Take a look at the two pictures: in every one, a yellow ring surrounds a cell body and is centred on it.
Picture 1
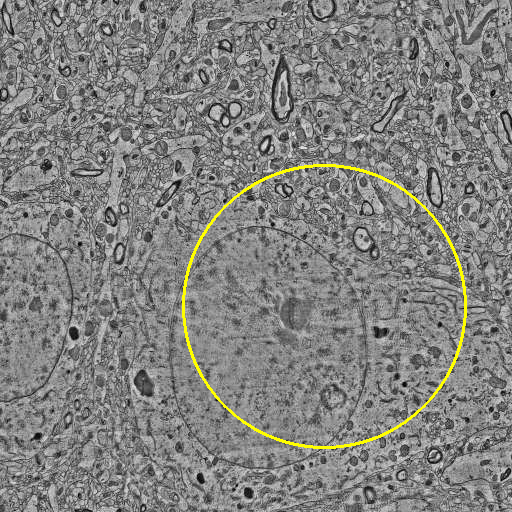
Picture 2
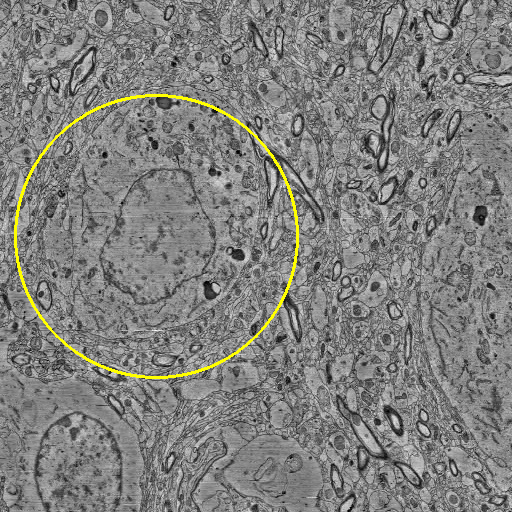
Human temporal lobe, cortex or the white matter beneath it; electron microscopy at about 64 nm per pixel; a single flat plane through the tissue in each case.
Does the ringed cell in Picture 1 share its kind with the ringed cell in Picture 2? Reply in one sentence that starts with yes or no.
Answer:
Yes, the two centred cells, one per picture, are of one kind.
